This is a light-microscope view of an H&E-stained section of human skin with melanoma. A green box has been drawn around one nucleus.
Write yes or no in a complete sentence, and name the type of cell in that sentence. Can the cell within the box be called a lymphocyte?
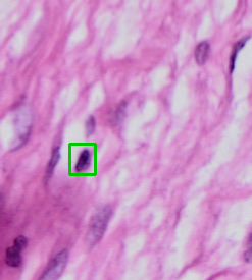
Yes, the cell within the box is one that is classed as a lymphocyte.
